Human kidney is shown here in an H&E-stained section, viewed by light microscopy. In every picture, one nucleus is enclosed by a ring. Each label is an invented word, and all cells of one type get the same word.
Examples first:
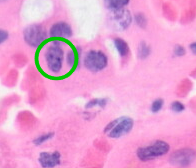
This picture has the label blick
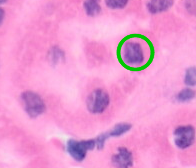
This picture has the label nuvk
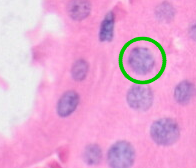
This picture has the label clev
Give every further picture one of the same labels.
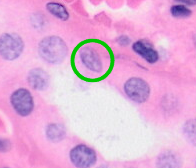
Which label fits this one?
blick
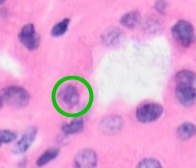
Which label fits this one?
clev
